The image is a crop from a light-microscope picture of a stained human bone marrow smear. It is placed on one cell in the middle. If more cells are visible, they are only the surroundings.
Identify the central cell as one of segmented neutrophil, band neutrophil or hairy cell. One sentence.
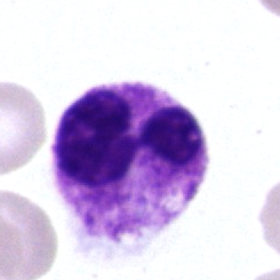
The cell at the middle of the frame should be recorded as a segmented neutrophil.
